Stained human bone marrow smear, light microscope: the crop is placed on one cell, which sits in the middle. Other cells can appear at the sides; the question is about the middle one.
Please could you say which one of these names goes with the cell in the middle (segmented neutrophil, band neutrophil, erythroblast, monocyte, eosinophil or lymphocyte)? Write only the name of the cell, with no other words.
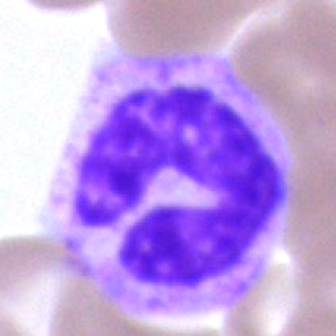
band neutrophil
